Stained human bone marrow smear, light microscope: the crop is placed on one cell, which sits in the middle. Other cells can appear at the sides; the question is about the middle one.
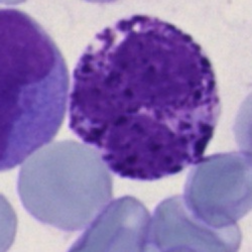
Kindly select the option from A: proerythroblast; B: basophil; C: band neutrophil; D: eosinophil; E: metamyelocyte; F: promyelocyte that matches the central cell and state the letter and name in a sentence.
The central cell is a basophil, which makes option B the right answer.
